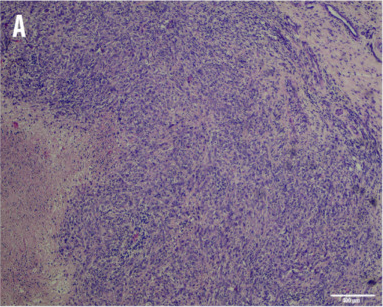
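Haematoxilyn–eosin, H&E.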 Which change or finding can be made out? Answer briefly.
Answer: Necrotic areas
